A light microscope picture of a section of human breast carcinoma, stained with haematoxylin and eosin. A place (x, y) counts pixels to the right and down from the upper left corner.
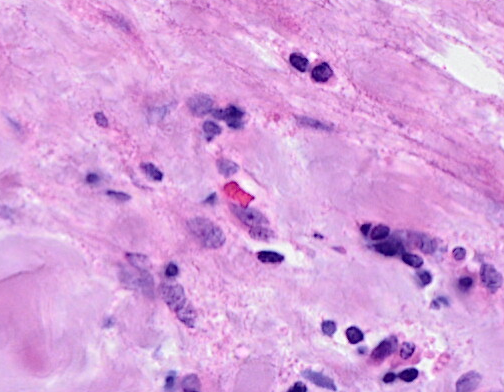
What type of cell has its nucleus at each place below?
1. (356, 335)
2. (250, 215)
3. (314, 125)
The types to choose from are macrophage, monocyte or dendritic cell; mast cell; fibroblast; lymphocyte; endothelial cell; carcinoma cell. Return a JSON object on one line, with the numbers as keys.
{"1": "lymphocyte", "2": "endothelial cell", "3": "fibroblast"}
